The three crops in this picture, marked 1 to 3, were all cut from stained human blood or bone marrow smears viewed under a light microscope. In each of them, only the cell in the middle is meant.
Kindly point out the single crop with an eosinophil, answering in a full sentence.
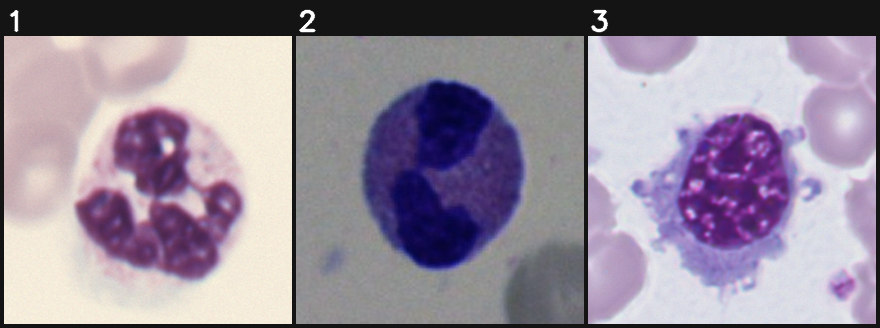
The one that shows an eosinophil is crop 2.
